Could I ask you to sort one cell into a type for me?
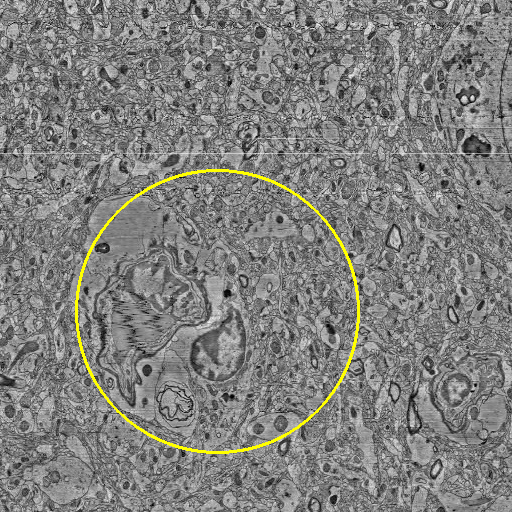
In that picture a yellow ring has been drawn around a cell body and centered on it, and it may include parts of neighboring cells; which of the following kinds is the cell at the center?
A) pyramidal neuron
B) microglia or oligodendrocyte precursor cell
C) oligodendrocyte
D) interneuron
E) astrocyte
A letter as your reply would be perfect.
B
